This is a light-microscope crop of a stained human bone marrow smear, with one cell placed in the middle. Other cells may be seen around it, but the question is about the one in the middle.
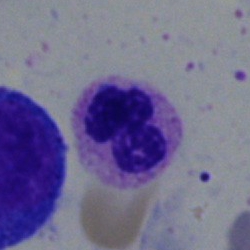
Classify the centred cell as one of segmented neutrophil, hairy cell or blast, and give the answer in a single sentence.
Centred in the crop is a segmented neutrophil.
